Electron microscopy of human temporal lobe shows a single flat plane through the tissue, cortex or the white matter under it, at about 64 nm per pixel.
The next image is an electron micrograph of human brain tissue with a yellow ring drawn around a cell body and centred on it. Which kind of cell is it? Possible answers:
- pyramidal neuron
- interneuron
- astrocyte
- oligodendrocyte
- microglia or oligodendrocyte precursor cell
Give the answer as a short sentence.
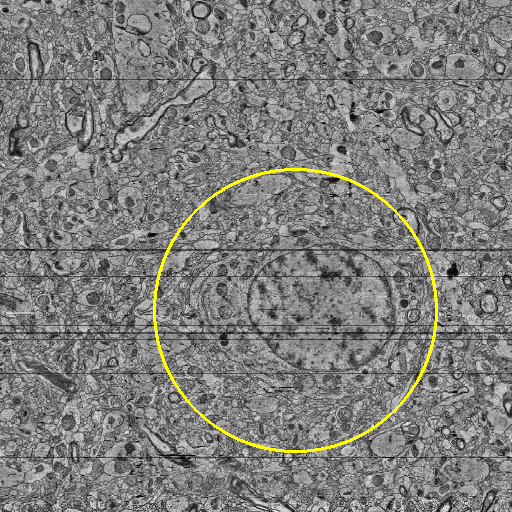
In the ring's centre is an interneuron.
